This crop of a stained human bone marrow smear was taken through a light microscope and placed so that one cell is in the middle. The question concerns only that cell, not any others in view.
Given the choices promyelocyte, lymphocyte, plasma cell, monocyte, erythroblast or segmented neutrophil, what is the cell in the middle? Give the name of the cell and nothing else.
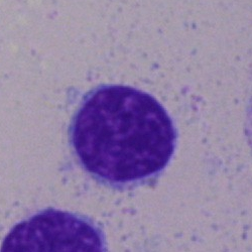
lymphocyte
